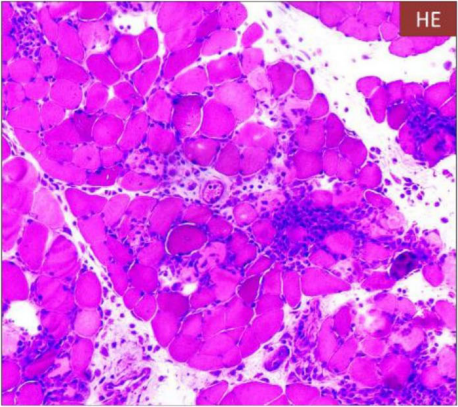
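This is skeletal muscle cut across, with polygonal pink muscle fibers grouped in fascicles and separated by pale connective tissue. The fibers vary in size and some look paler or broken up where the infiltrate presses among them.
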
